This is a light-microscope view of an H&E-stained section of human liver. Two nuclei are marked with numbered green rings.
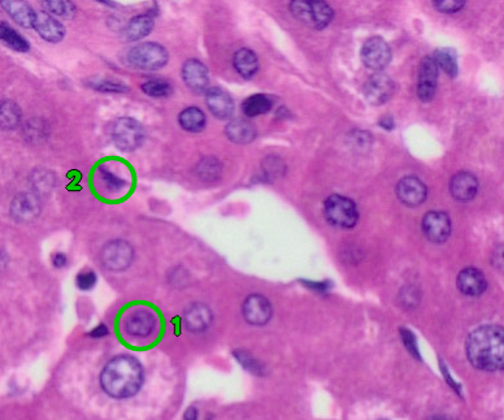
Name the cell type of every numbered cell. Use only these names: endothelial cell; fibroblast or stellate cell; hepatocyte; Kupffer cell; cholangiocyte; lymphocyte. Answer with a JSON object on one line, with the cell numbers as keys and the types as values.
{"1": "hepatocyte", "2": "fibroblast or stellate cell"}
